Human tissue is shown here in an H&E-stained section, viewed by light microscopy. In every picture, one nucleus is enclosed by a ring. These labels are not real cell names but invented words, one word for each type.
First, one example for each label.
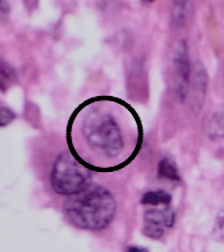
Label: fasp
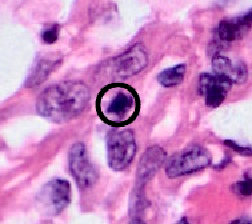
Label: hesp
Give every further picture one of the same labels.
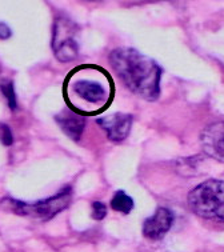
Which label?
hesp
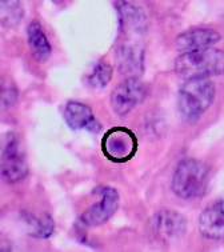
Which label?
hesp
